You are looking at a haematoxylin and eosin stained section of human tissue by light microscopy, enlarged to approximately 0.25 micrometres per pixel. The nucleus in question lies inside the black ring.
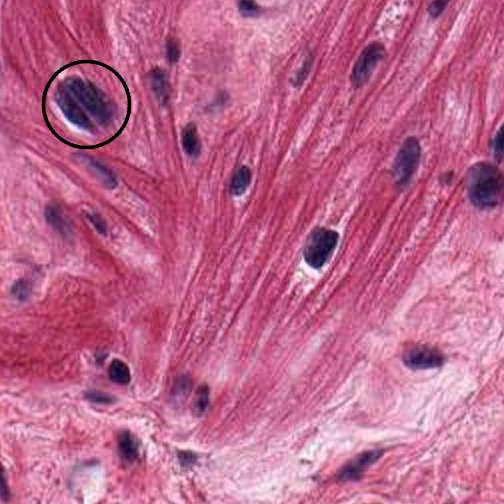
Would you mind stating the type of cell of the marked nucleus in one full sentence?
Within the picture, the marked nucleus belongs to a cardiomyocyte.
